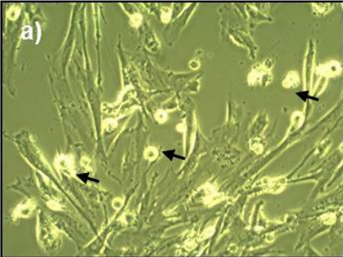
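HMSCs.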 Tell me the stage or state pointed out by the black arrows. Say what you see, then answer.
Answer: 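The arrowed cells are small, rounded and bright, unlike the flat spindle cells around them. Several rounded cells sit in pairs or clusters among elongated cells. On this evidence: dividing cells.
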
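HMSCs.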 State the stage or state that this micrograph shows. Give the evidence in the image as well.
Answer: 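Most cells are slender and spindle-shaped. Cells lie roughly aligned in streams.
Hence: fibroblastoid morphology.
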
